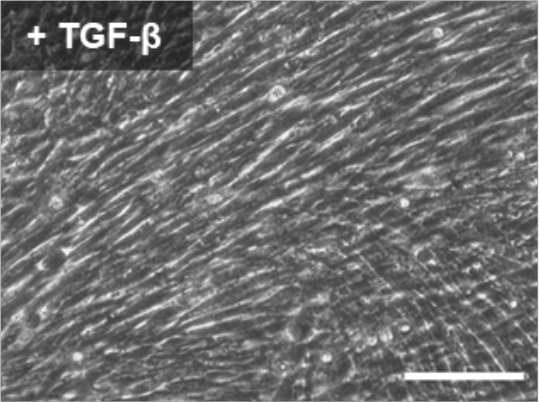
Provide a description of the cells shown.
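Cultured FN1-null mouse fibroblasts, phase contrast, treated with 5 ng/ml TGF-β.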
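The cells are slender and spindle-shaped, with bright, refractile edges. A few small round bright bodies sit on top of the layer.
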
